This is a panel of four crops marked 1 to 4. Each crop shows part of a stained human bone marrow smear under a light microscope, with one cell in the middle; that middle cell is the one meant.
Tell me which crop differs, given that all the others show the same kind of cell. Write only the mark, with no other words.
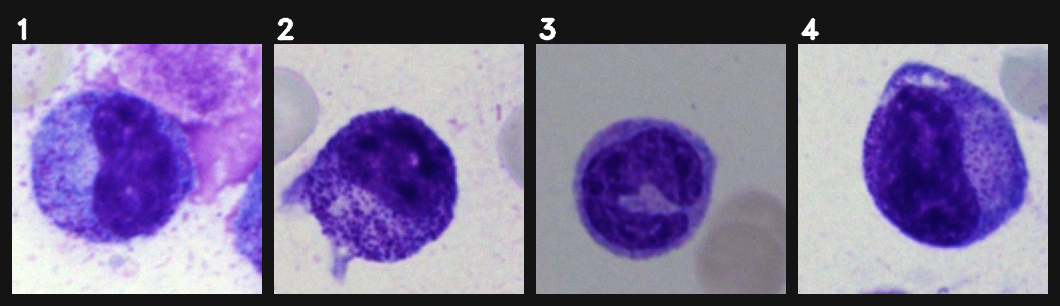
3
